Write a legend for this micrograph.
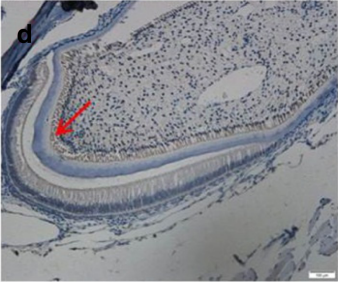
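The dentin appears as concentric blue-grey and paler bands curving around the tip of the crown. Along the inner dentin surface lies a row of closely packed odontoblasts, lightly tinged brown. The pulp is filled with densely scattered small blue nuclei in a loose matrix, with a pale, empty vessel profile near its centre. Loose tissue with scattered nuclei lies outside the dentin.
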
